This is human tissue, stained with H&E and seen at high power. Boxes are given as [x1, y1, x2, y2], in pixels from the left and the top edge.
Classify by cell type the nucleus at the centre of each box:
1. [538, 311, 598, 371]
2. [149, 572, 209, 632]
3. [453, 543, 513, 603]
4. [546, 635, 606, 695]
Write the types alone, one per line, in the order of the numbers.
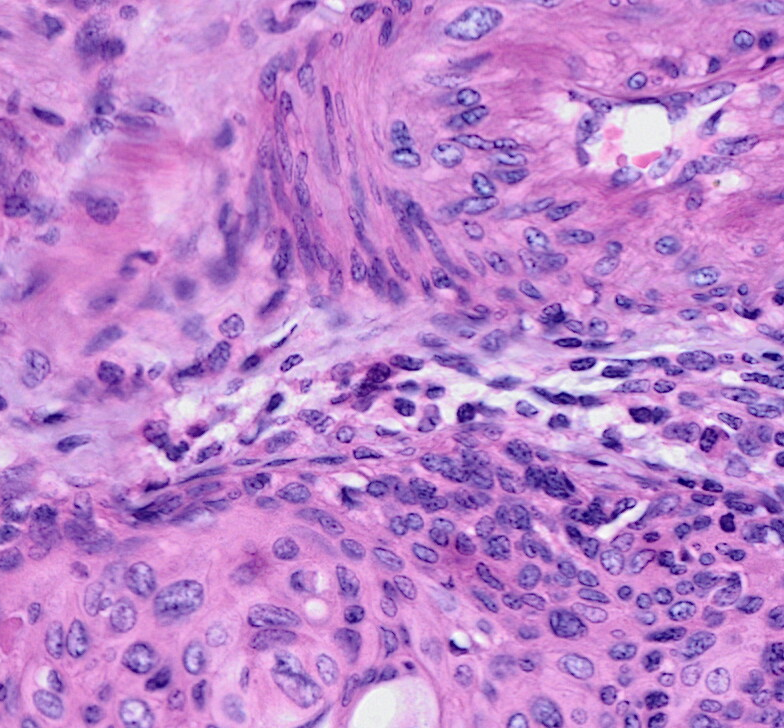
lymphocyte
squamous carcinoma cell
squamous carcinoma cell
squamous carcinoma cell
